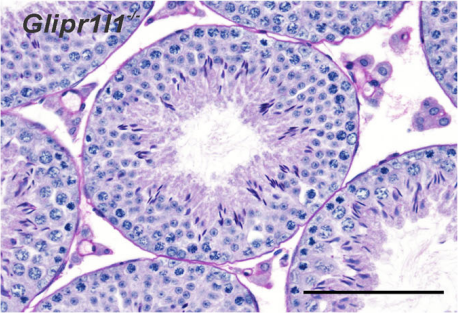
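A section of testis shows a round tubule cut across, ringed by a thin magenta border and flanked by parts of other tubules. Its wall is built of several layers of cells with round blue-grey nuclei. Nearer the middle, dark, slender, elongated heads of developing sperm point towards the centre, and pale pink threads gather in the open central lumen. In the space between tubules there are clusters of larger cells with pink cytoplasm and round nuclei, along with small vessels. The overall arrangement of the layers looks orderly.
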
